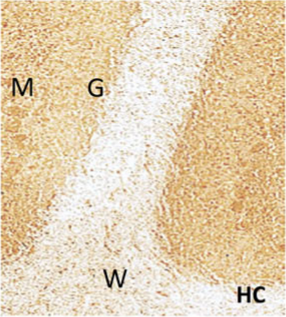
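This is cerebellar cortex with a pale band of white matter running between two layers of densely packed small granule cells, stained a moderate orange-brown. The molecular layer beyond the granular layer is similarly light brown, and the white matter is nearly unstained apart from scattered fine fibres.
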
